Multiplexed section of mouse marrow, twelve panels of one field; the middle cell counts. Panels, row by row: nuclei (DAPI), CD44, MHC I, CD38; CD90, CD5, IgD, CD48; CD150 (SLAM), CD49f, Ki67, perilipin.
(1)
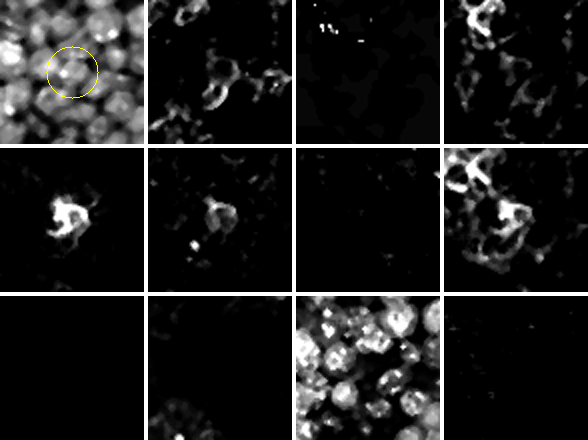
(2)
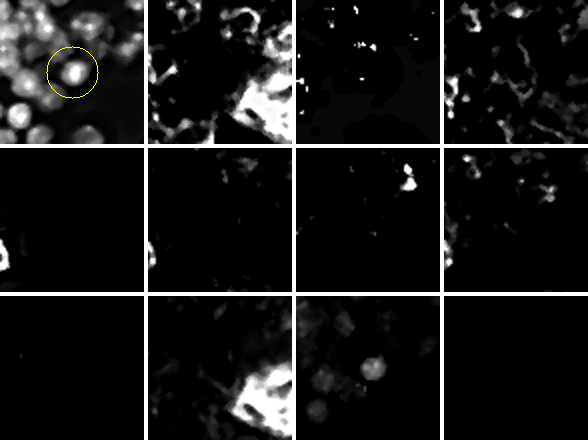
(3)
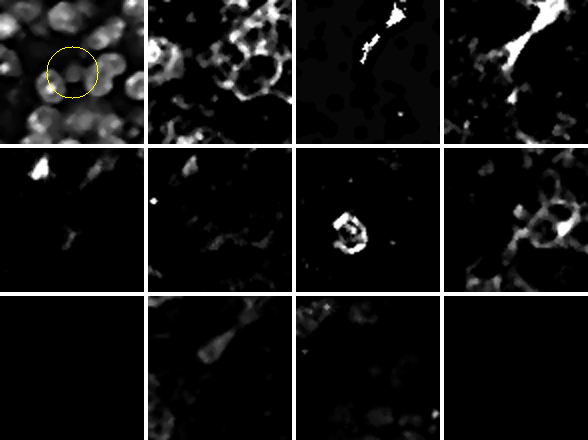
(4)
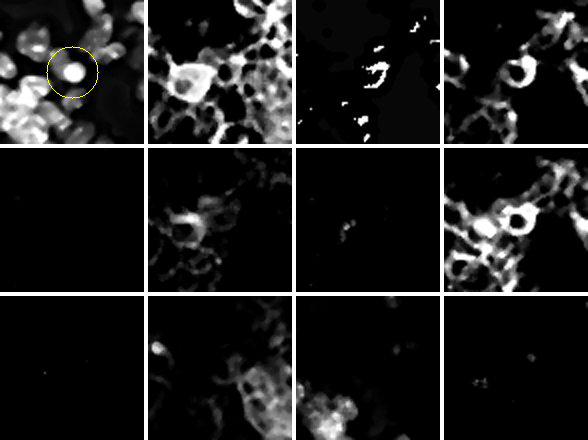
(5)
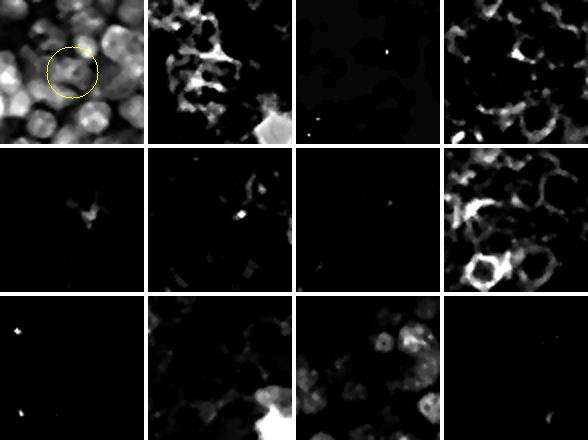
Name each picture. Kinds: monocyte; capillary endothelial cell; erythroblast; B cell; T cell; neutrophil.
(1) T cell
(2) erythroblast
(3) capillary endothelial cell
(4) monocyte
(5) neutrophil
